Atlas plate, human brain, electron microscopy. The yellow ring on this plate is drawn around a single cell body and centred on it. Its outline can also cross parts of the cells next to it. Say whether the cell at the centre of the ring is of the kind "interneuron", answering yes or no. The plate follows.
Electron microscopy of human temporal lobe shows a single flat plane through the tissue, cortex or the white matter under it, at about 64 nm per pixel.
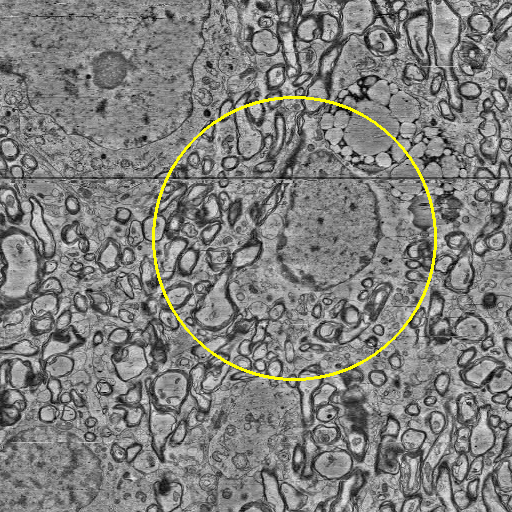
No, the cell is of another kind.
